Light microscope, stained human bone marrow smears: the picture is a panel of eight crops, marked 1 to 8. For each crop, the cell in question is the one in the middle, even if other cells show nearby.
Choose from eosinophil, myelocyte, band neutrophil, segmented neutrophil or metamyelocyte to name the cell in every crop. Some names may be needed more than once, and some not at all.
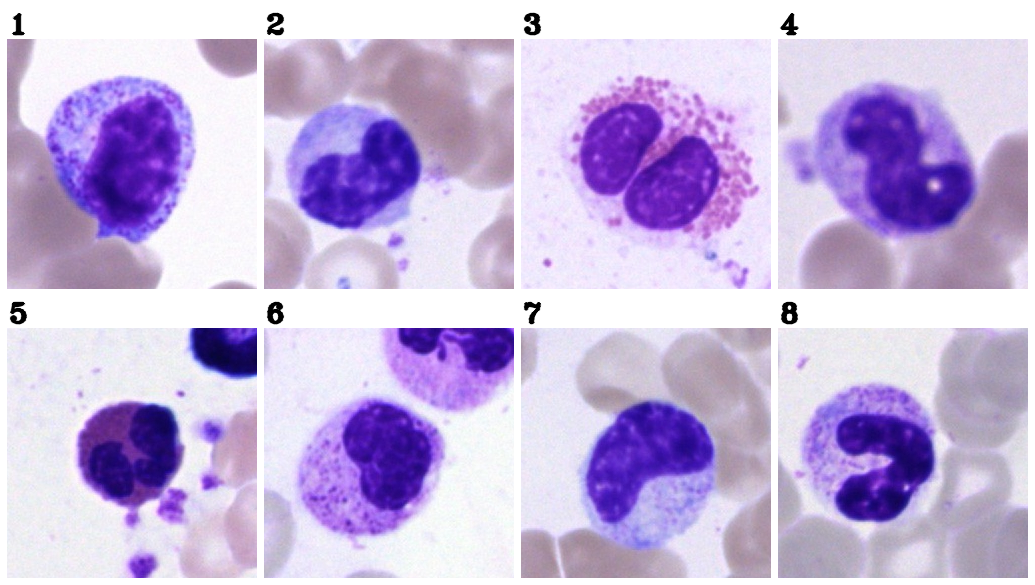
1: myelocyte
2: metamyelocyte
3: eosinophil
4: band neutrophil
5: eosinophil
6: metamyelocyte
7: metamyelocyte
8: band neutrophil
